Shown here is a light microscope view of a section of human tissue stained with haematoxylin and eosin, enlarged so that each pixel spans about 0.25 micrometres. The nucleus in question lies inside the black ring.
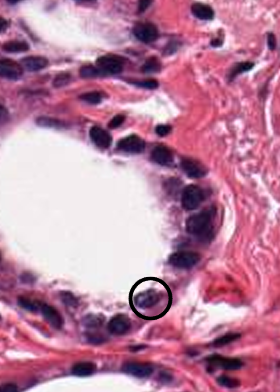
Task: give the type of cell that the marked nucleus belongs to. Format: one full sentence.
In the section shown, the marked nucleus belongs to a thyroid follicular cell.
